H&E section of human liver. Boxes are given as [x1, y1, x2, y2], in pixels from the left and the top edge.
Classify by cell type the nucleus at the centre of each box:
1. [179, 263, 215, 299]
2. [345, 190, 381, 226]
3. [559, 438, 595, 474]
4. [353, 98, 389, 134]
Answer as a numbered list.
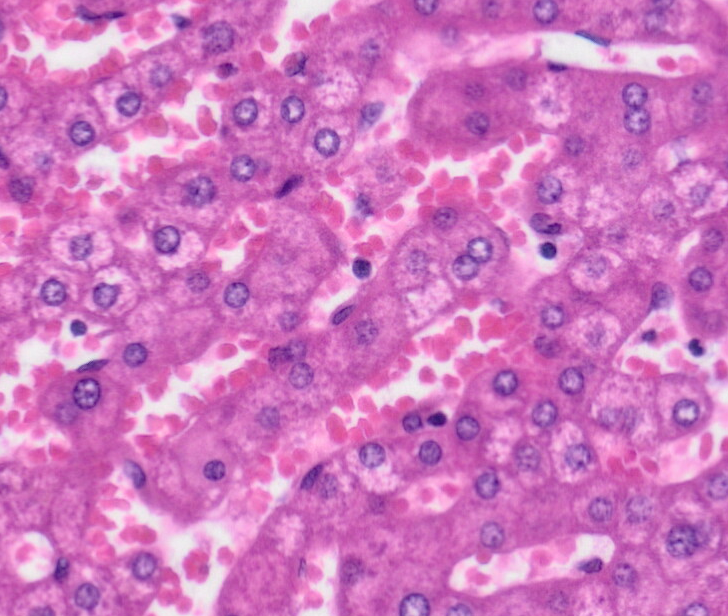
1. hepatocyte
2. endothelial cell
3. hepatocyte
4. Kupffer cell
